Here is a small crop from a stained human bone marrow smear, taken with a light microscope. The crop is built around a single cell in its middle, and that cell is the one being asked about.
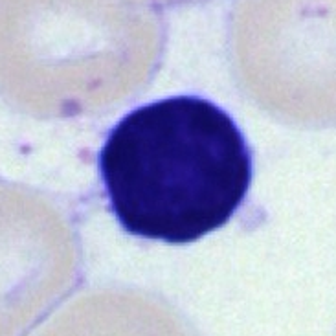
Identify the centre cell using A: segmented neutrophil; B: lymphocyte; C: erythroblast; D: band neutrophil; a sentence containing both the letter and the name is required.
The cell in the centre of the crop is a lymphocyte, so option B is the correct one.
